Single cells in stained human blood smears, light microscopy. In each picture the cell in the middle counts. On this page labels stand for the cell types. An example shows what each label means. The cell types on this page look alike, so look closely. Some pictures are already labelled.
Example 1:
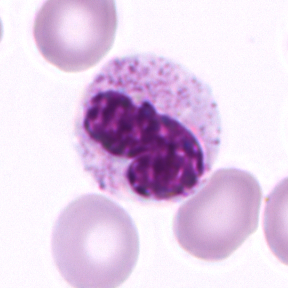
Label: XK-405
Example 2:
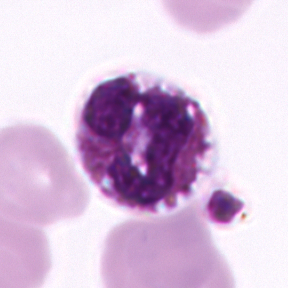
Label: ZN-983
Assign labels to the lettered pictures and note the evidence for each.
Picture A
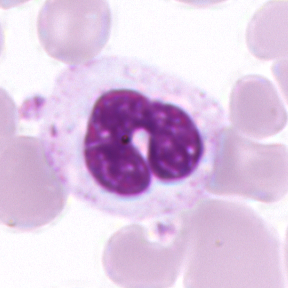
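XK-405. Evidence: Fine, sparse violet-pink granules are scattered through the cytoplasm.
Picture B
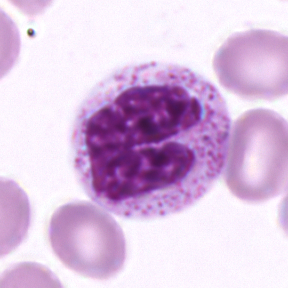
XK-405. Evidence: Small, discrete reddish-pink granules are scattered through the cytoplasm.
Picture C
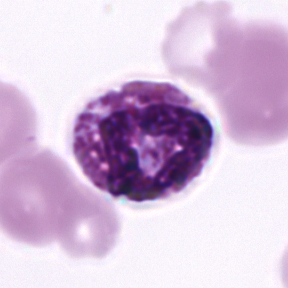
ZN-983. Evidence: Coarse dark purple granules are scattered over the cell, including over the nucleus.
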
